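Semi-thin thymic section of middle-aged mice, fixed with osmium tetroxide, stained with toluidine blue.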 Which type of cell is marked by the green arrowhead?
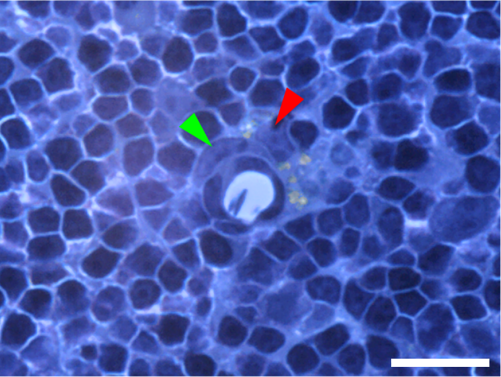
Pericyte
